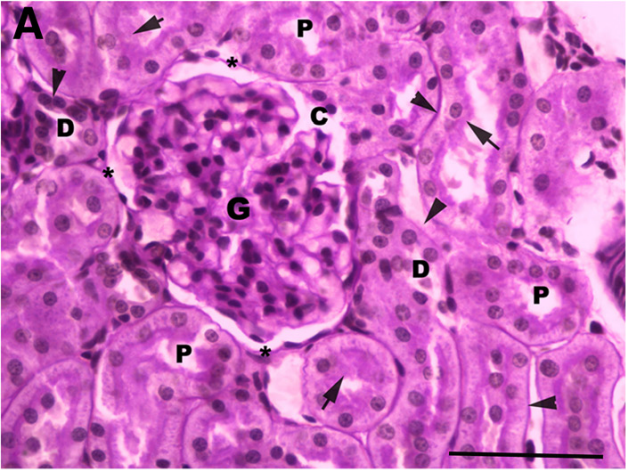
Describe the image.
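Renal cortex with a glomerulus at centre: a rounded tuft crowded with small dark nuclei, surrounded by a narrow clear space and a thin magenta capsule wall. Around it lie sections of convoluted tubules lined by cuboidal epithelial cells with round, pale nuclei and pink granular cytoplasm. Some tubules have a magenta-stained fringe at the luminal surface of their cells, while other tubules have wider, clearer lumens. Thin magenta lines outline the bases of the tubules, and small dark elongated nuclei sit in the narrow spaces between them.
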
